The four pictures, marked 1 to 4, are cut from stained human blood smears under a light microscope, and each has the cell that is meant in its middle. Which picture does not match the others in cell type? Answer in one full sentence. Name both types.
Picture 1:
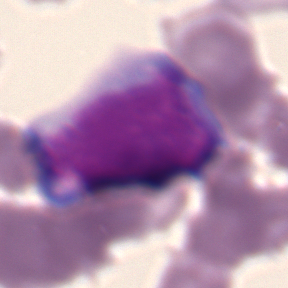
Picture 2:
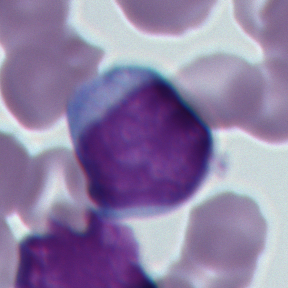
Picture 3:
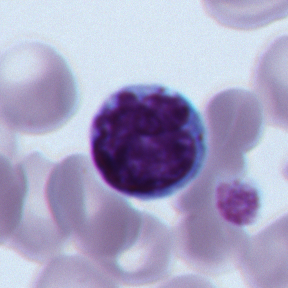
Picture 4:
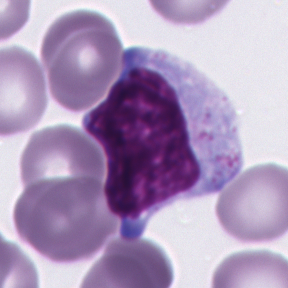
All pictures except 1 show typical lymphocytes; picture 1 shows a myeloblast.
